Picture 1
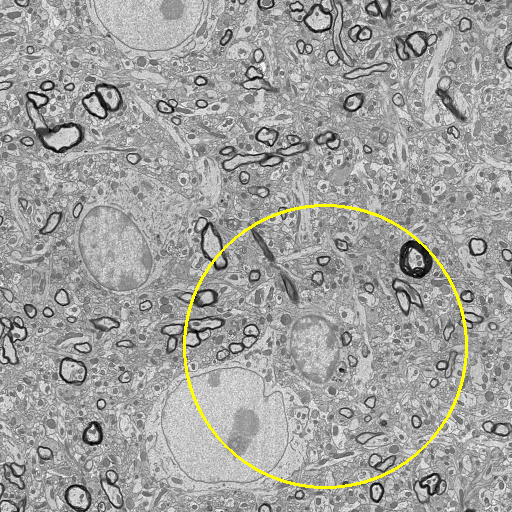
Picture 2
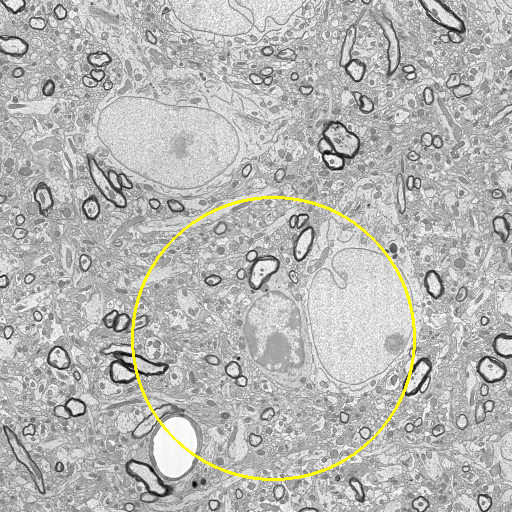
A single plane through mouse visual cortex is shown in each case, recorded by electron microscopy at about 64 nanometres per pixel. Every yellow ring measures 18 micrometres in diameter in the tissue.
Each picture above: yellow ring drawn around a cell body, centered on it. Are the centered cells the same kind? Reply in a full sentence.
Yes, the two cells are the same kind.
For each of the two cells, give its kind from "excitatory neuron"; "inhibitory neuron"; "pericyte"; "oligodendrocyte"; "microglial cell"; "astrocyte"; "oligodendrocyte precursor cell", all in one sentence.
In both pictures the ring is centred on an oligodendrocyte.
